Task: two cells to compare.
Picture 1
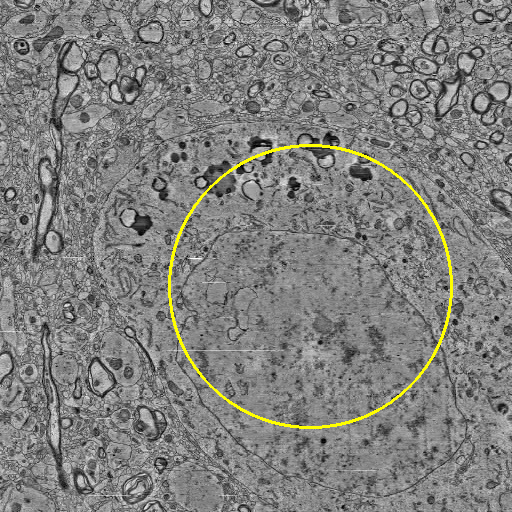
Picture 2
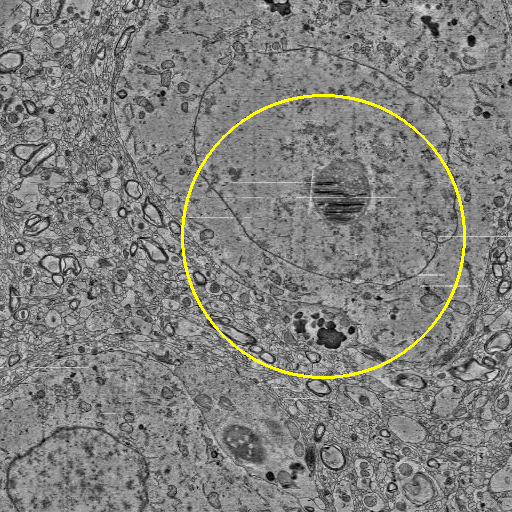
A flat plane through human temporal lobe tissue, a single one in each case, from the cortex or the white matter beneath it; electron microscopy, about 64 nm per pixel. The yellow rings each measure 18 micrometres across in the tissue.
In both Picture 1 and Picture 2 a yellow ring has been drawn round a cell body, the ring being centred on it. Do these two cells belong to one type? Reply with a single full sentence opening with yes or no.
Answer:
Yes, the two cells at the ring centres in Picture 1 and Picture 2 share one type.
